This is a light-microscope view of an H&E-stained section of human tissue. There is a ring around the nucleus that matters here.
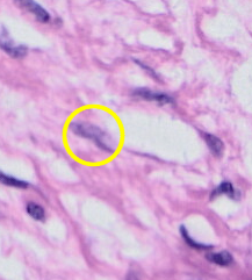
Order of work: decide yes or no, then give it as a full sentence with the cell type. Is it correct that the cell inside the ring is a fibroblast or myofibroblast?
Yes, no change needed: the cell inside the ring is a fibroblast or myofibroblast.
